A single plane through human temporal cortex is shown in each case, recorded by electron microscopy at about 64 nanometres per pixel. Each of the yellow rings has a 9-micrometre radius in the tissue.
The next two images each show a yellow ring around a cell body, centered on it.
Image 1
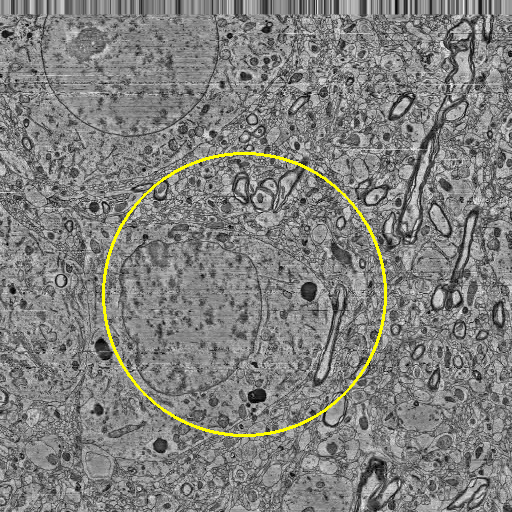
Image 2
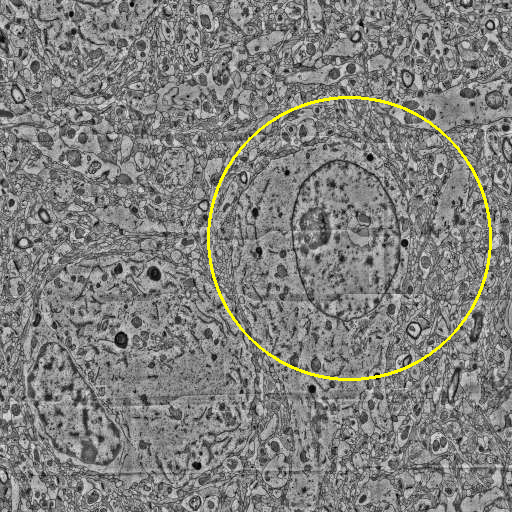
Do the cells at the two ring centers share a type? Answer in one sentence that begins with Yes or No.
Yes, across the two images the cells at the ring centers share one type.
